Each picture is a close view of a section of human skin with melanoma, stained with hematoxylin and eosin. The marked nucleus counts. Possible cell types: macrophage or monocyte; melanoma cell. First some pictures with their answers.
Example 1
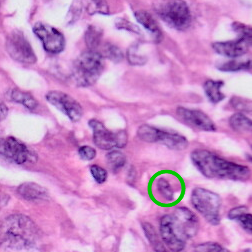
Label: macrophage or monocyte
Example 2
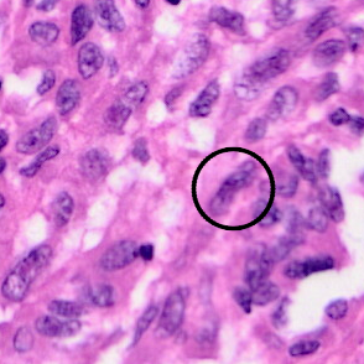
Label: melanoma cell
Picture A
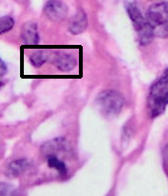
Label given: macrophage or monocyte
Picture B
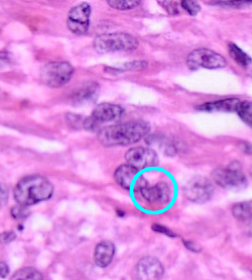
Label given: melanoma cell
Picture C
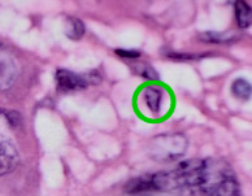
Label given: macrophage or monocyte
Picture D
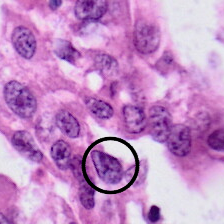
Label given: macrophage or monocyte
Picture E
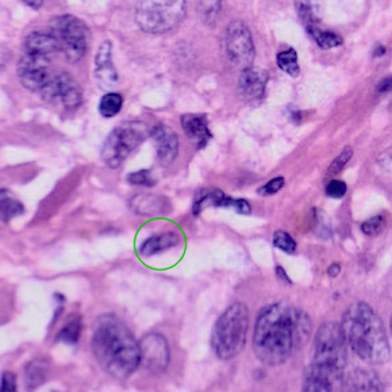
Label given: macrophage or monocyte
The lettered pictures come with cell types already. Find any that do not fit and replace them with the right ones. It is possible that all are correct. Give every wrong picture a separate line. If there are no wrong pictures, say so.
D: melanoma cell, not macrophage or monocyte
